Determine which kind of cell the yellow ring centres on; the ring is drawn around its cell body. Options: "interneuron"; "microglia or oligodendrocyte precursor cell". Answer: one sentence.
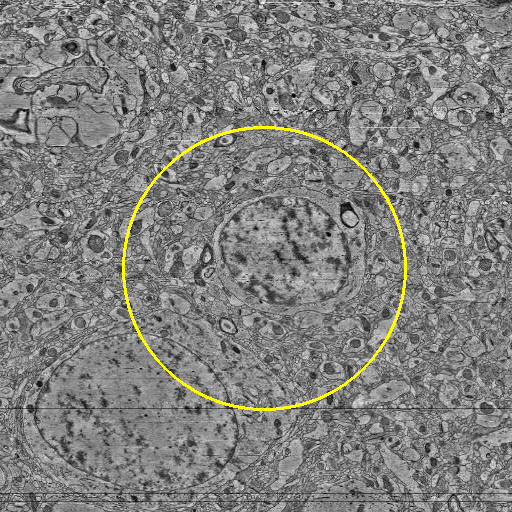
The ring centres on an interneuron.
